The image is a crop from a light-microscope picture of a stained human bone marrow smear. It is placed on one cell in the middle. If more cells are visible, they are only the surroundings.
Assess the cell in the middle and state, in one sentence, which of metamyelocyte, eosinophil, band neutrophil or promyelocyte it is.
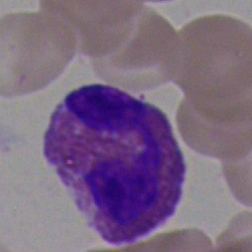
By classification, the middle cell of this crop is an eosinophil.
